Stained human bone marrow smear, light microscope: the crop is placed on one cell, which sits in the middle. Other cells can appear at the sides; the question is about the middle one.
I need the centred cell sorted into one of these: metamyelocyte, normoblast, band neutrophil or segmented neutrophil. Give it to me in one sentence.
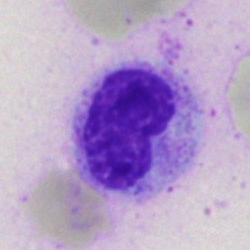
The cell in the exact centre of the crop is a metamyelocyte.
